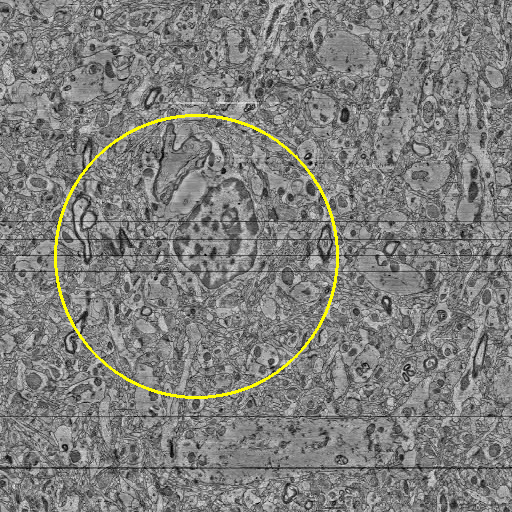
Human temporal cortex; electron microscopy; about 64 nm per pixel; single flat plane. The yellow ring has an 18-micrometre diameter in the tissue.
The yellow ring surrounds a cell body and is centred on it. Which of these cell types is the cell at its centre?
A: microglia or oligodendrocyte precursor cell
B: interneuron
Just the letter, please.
A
